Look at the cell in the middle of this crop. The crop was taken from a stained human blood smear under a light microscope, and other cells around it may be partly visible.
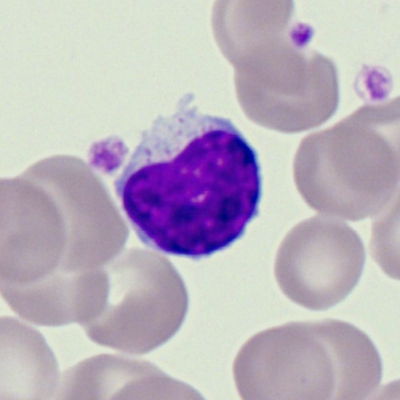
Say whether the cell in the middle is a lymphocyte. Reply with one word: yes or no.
yes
